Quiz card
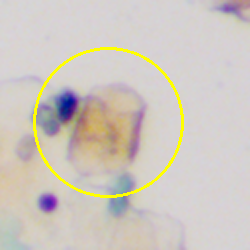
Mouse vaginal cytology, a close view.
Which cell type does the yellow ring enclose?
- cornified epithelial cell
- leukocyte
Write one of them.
cornified epithelial cell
